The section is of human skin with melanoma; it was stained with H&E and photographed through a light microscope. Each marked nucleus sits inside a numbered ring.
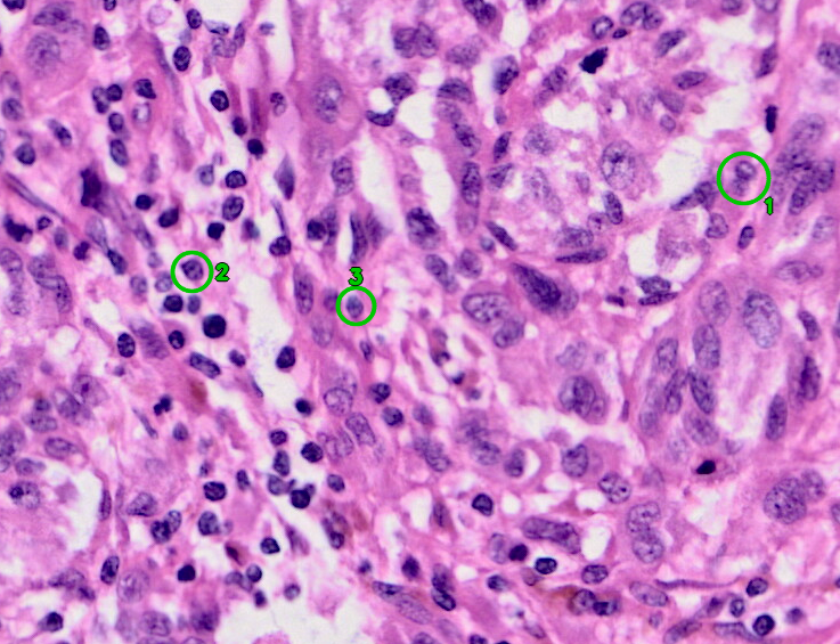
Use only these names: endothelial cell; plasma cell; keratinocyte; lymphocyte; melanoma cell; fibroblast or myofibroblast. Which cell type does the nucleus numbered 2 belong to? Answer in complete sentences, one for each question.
The cell with the number 2 is a lymphocyte.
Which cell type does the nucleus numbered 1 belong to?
The marked cell bearing number 1 is a melanoma cell.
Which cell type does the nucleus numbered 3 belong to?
In this section, the cell numbered 3 is a lymphocyte.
